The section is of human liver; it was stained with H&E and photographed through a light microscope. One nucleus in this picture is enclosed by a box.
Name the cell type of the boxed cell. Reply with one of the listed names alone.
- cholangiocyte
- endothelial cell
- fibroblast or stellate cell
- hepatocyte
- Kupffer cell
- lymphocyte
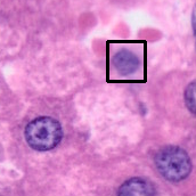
Kupffer cell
